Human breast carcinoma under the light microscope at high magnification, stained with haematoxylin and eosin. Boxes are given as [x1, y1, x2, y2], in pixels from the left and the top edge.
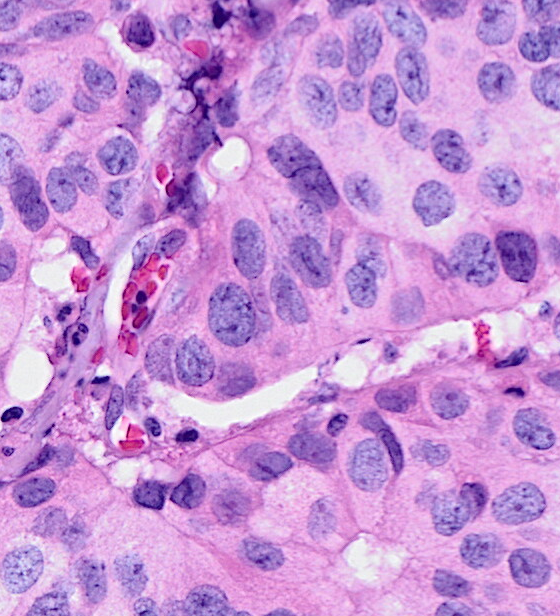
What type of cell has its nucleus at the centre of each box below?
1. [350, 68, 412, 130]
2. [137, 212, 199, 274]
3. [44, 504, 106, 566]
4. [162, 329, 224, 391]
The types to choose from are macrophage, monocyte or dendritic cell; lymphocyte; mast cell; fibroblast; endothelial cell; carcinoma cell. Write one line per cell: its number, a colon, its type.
1: carcinoma cell
2: endothelial cell
3: carcinoma cell
4: carcinoma cell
